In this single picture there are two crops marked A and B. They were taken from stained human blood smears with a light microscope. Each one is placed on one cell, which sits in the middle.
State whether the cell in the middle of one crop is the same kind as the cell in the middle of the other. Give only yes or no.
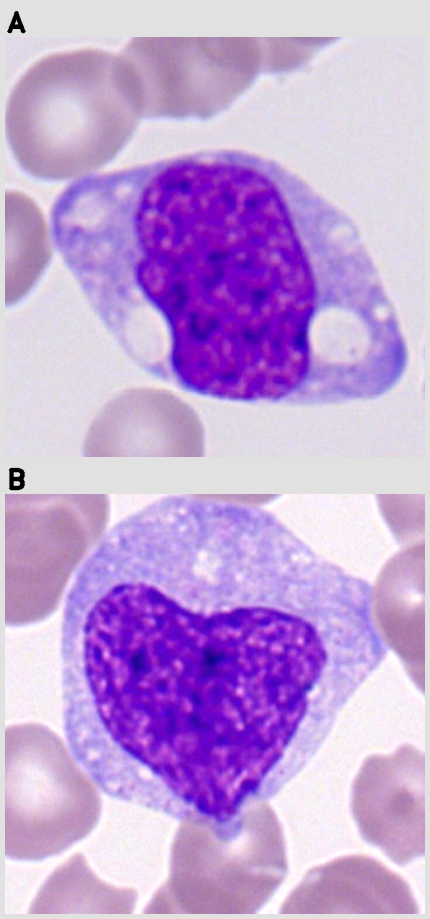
yes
